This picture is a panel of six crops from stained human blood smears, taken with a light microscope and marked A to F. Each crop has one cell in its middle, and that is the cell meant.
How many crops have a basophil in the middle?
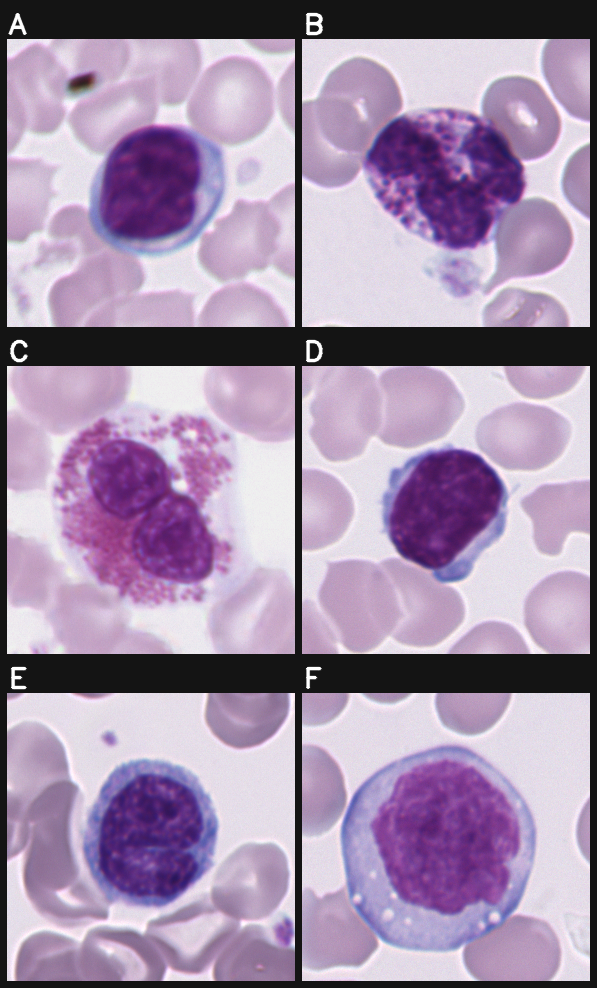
1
